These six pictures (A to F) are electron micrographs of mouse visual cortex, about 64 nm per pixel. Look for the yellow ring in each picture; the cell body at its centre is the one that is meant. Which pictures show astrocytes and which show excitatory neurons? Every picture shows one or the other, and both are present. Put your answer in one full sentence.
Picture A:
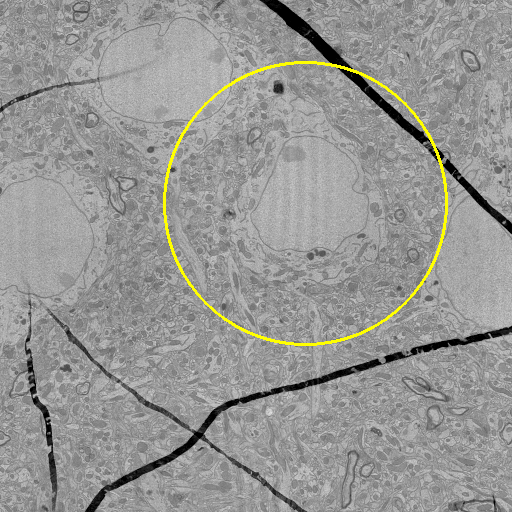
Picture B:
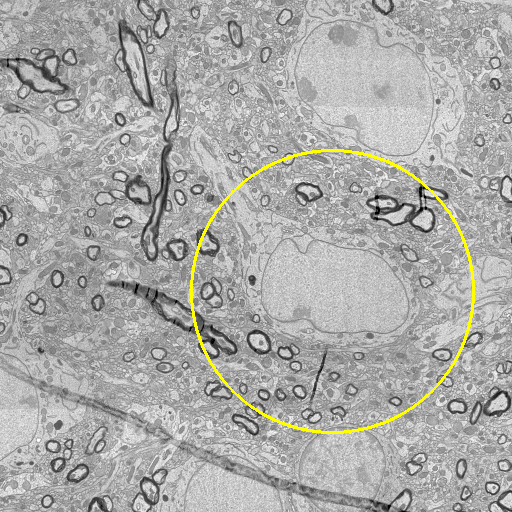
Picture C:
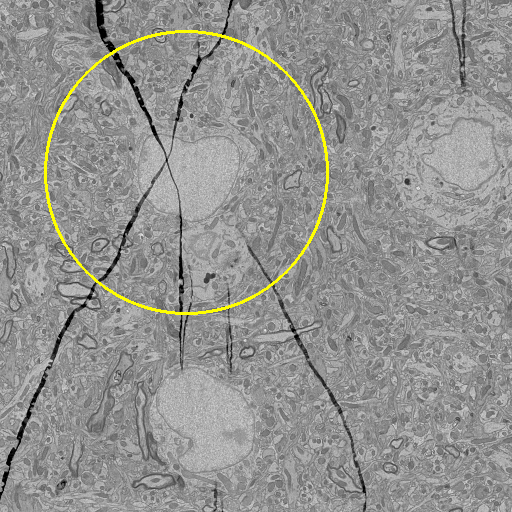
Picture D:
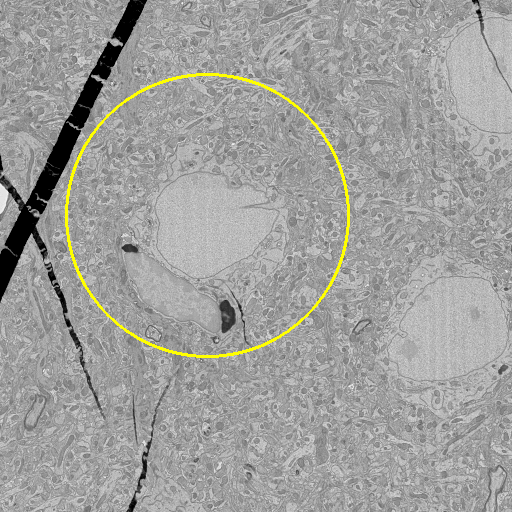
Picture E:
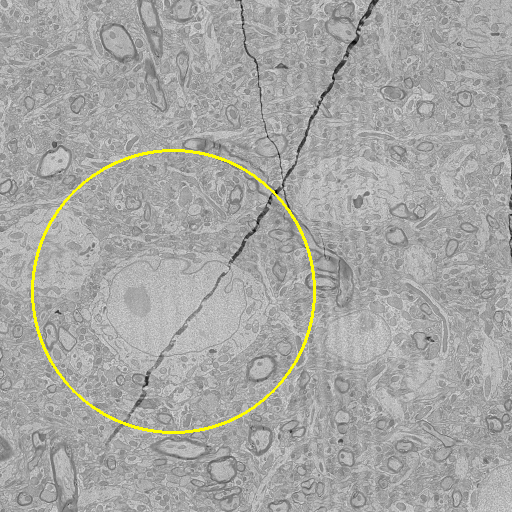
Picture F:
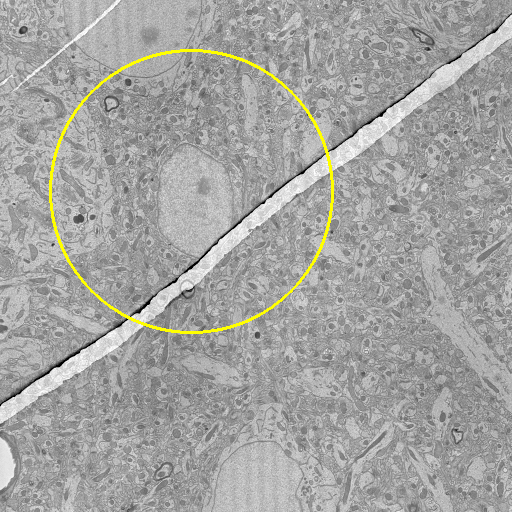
Pictures C and F show astrocytes, and pictures A, B, D and E show excitatory neurons.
